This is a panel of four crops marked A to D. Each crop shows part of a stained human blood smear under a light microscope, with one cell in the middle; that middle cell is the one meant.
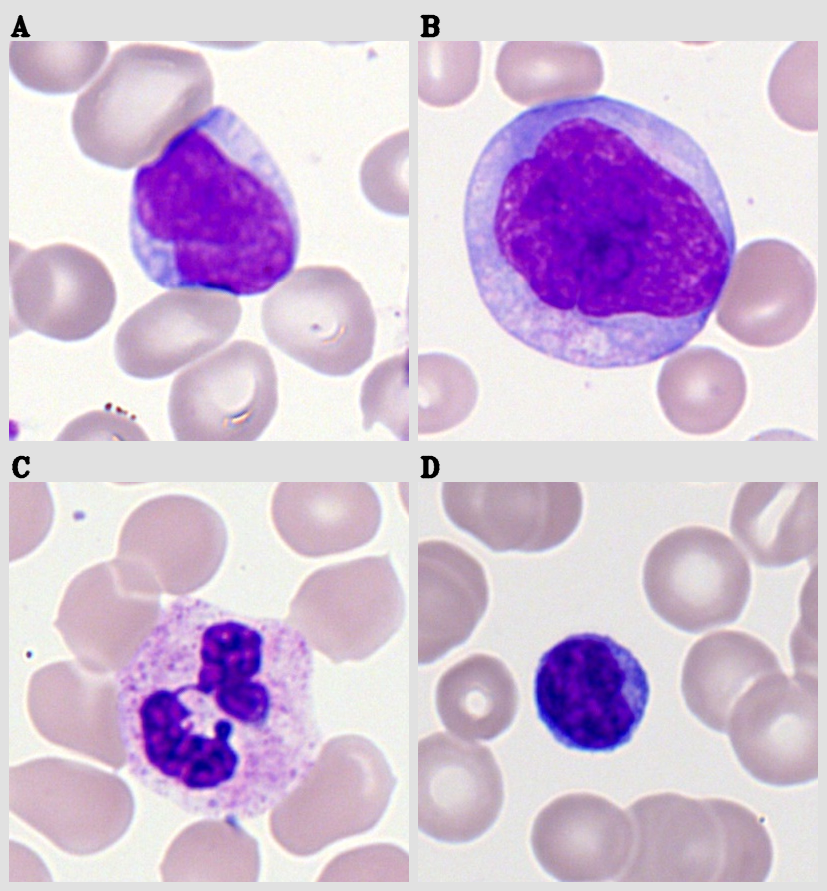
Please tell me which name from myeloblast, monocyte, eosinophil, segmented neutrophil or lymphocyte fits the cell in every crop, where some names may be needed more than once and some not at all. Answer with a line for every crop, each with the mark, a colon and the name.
A: myeloblast
B: myeloblast
C: segmented neutrophil
D: lymphocyte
